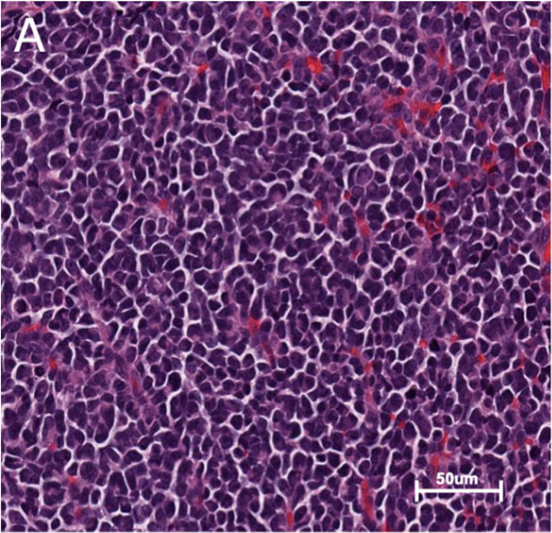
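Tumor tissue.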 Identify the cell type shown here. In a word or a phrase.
uniform round cells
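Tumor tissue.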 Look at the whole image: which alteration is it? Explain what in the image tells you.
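Dark purple nuclei take up almost the whole of each cell. Only a thin pale rim lies around each nucleus.
Conclusion: minimal cytoplasm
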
